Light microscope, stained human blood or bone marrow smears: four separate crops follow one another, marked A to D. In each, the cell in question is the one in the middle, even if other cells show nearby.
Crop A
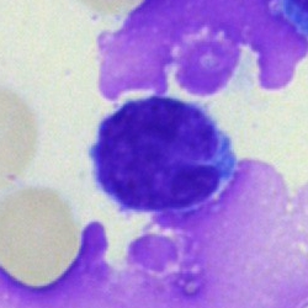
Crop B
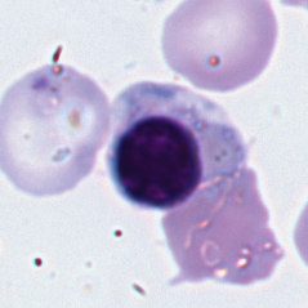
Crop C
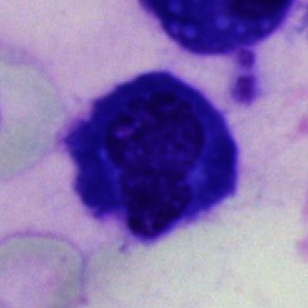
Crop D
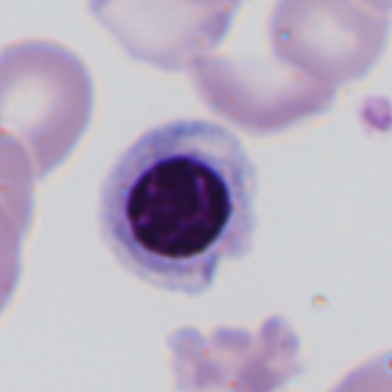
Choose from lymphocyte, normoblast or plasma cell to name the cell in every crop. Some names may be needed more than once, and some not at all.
A: lymphocyte
B: normoblast
C: plasma cell
D: normoblast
